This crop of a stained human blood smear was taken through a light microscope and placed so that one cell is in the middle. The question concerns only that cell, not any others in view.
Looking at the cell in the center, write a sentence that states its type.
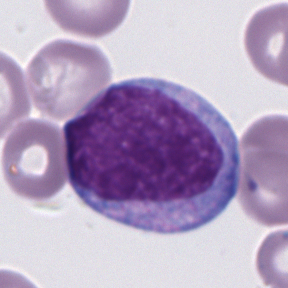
Occupying the centre of the crop is a promyelocyte.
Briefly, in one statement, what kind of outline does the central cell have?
The edge of the cell is unbroken and smooth, bearing no projections.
